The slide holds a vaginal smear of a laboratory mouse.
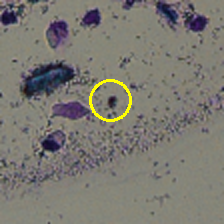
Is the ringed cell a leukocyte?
Yes, it is a leukocyte.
